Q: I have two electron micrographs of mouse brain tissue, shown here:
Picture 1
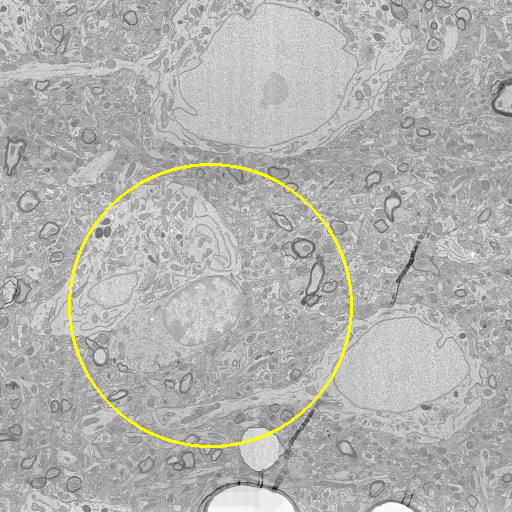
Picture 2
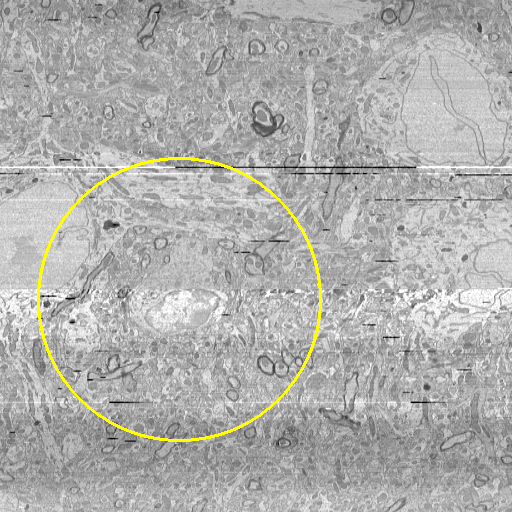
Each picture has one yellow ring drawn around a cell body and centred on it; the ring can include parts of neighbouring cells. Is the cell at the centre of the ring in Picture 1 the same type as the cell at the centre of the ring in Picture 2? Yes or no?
yes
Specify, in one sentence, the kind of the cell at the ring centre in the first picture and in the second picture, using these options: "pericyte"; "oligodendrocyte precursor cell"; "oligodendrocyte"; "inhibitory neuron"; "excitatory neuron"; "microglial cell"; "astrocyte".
The first and the second cell are each an oligodendrocyte.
